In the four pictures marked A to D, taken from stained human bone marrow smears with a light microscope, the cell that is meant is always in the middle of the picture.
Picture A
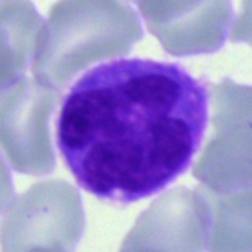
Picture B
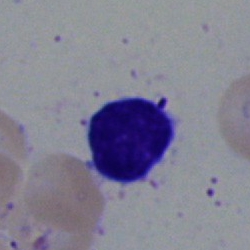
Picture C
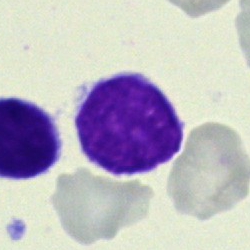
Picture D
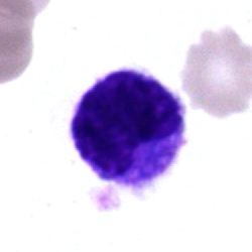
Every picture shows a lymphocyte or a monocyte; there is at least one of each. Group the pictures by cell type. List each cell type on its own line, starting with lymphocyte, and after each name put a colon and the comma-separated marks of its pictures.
lymphocyte: B, C, D
monocyte: A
